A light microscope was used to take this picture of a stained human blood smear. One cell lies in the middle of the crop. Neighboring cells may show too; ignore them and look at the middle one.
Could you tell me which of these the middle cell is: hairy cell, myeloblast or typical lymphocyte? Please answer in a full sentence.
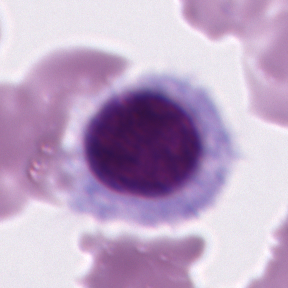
Within this crop, a hairy cell occupies the central position.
